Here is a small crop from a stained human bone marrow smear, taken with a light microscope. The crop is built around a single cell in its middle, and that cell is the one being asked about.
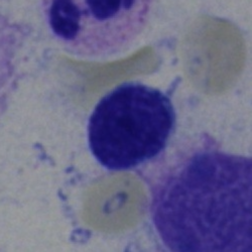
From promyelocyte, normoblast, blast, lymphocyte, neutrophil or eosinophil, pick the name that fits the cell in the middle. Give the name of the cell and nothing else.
lymphocyte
